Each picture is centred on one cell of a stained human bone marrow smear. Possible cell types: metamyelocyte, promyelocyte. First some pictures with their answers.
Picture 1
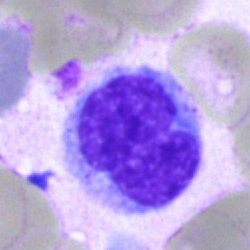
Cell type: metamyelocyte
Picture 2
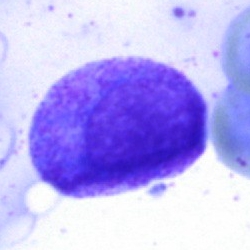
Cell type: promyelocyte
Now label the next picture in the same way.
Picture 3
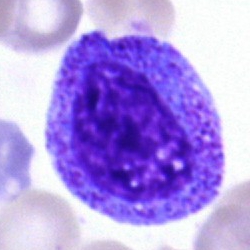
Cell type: promyelocyte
